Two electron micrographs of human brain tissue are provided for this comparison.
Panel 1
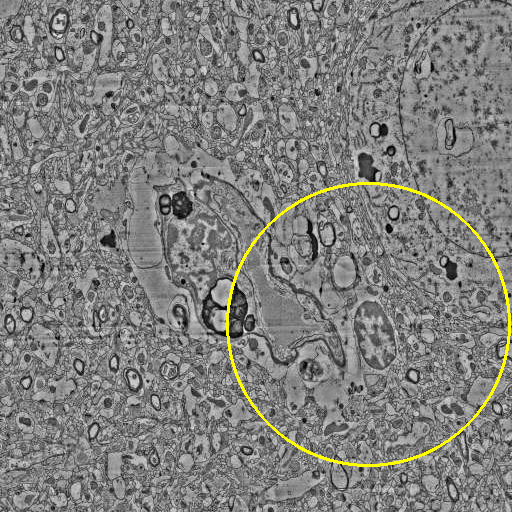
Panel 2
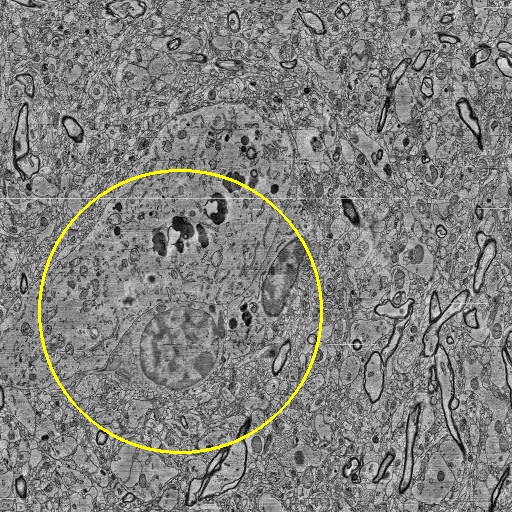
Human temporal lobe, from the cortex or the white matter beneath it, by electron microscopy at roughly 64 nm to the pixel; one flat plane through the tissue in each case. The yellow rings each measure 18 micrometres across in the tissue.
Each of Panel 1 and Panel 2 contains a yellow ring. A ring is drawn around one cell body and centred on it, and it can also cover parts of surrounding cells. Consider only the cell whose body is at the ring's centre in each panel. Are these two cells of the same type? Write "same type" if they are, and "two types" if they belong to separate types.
two types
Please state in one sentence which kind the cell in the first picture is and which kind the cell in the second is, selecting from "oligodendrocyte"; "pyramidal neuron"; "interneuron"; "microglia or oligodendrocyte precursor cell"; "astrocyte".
The first ringed cell is a microglial cell or oligodendrocyte precursor cell, the second ringed cell an oligodendrocyte.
